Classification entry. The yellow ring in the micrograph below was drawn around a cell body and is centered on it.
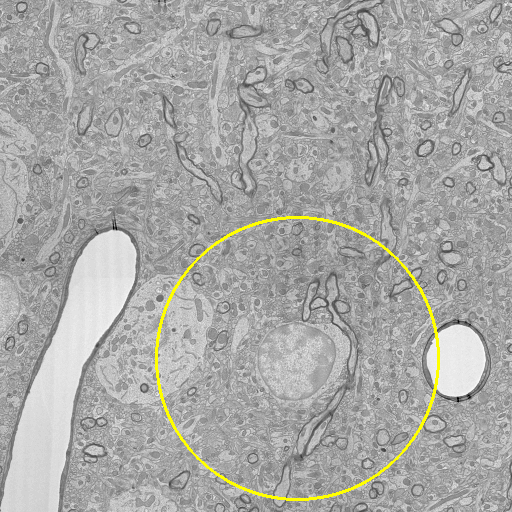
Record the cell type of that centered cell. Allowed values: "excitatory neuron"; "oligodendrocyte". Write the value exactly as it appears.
oligodendrocyte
